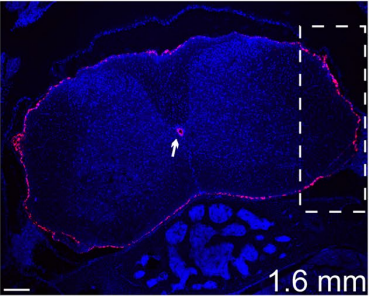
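Transverse section of spinal cord within the vertebral canal. The cord is oval, filled with densely packed blue nuclei; a faint midline divides it into two symmetric halves. Its outer surface is lined by a beaded red band of discrete dots following the meninges, thickest laterally. The interior of the cord shows little red. At the midline a small red ring marks the central canal. Around the cord lies a dark space, then surrounding bone and soft tissue with dense blue nuclei.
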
